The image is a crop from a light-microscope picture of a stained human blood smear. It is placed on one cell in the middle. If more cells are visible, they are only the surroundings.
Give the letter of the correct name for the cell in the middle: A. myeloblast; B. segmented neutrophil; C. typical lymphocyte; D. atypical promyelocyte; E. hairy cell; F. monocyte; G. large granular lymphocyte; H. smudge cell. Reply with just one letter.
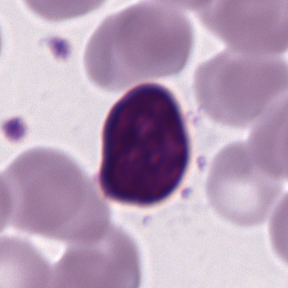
H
